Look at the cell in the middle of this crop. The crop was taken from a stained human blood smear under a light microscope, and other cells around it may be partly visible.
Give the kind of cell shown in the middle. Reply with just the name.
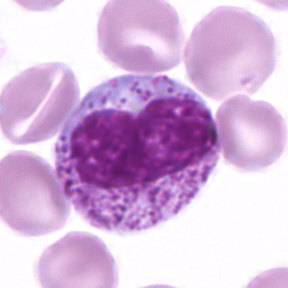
metamyelocyte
